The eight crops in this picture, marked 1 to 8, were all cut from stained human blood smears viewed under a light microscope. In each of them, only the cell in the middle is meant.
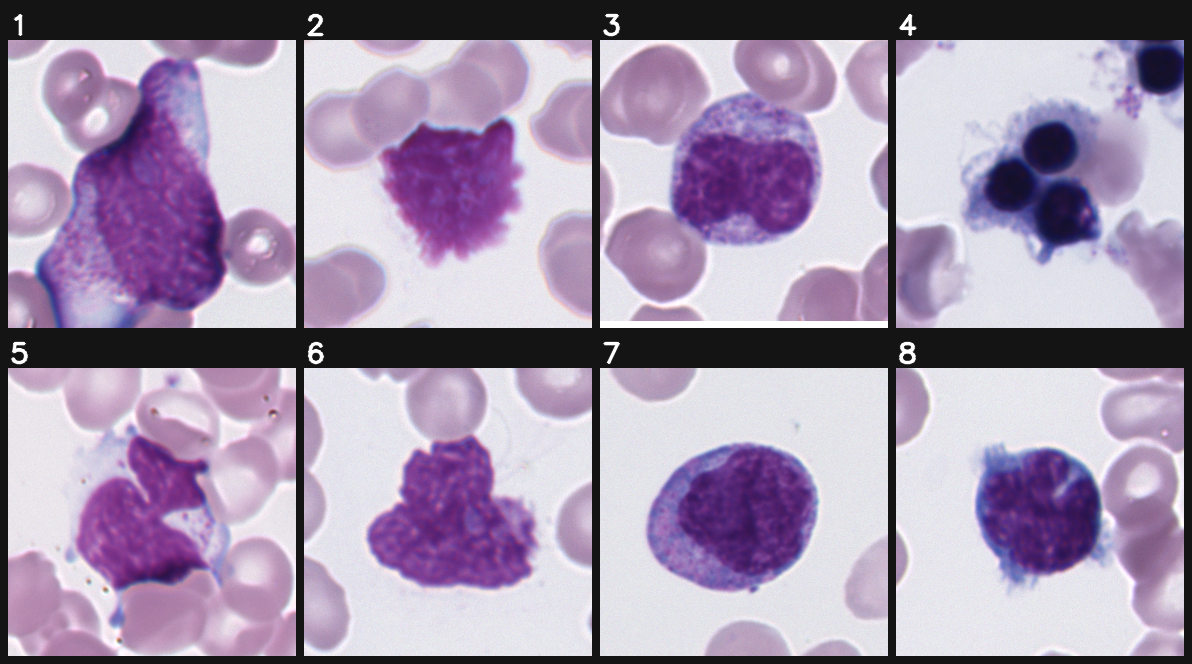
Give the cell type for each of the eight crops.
1: atypical promyelocyte
2: smudge cell
3: metamyelocyte
4: normoblast
5: large granular lymphocyte
6: smudge cell
7: atypical promyelocyte
8: monocyte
